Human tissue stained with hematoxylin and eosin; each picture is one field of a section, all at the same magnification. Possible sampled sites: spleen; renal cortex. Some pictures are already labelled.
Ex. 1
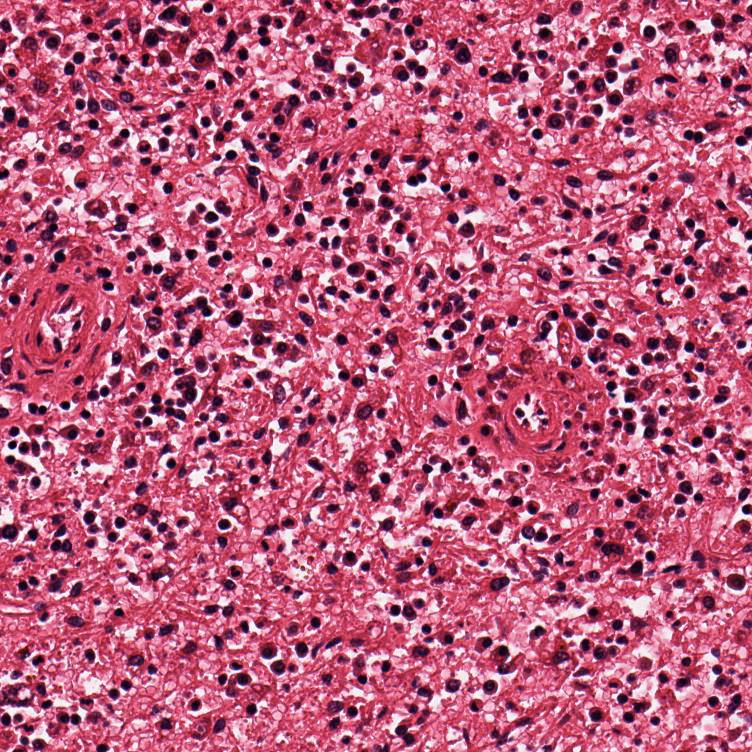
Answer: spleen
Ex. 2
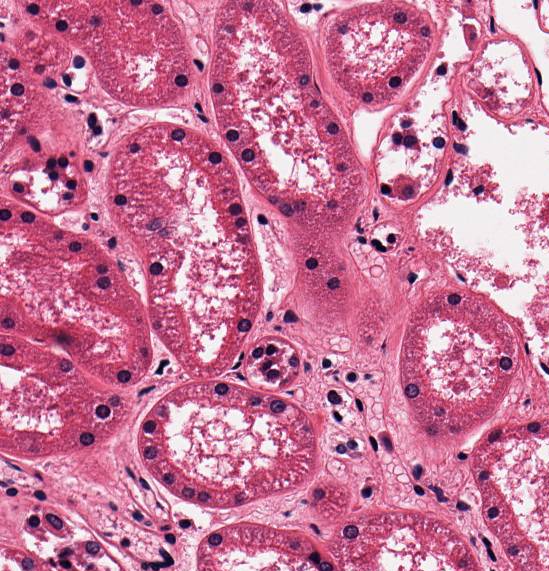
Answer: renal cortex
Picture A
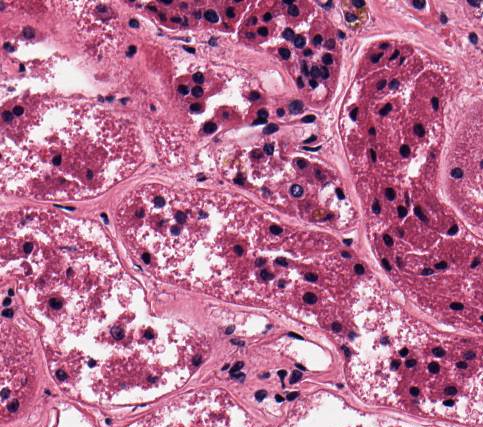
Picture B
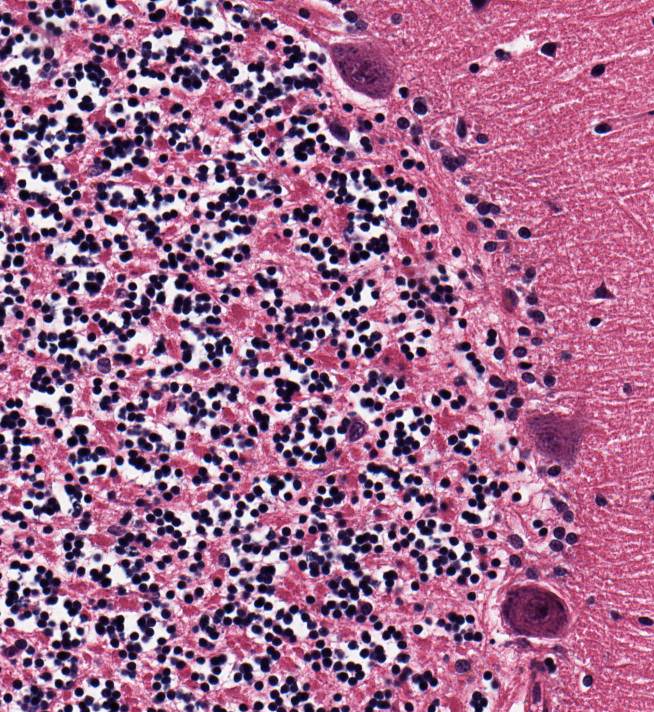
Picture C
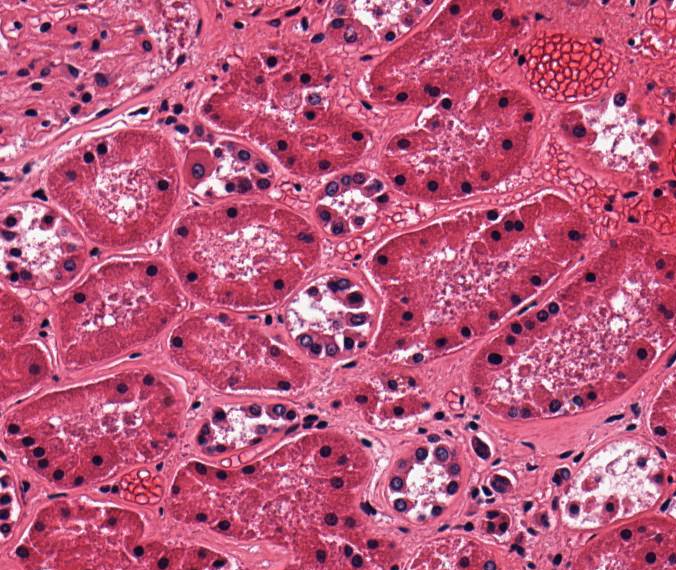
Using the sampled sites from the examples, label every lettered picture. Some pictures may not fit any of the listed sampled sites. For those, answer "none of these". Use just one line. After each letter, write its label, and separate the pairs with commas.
A renal cortex, B none of these, C renal cortex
